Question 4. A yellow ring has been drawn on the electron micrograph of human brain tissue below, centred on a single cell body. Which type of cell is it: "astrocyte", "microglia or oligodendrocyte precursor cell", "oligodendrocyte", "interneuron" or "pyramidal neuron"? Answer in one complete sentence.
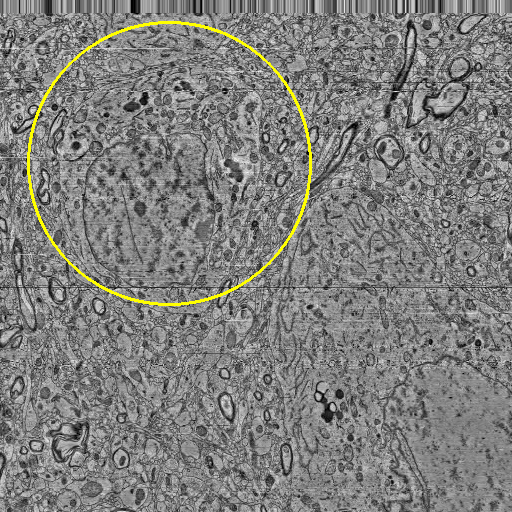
This cell body belongs to an interneuron.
